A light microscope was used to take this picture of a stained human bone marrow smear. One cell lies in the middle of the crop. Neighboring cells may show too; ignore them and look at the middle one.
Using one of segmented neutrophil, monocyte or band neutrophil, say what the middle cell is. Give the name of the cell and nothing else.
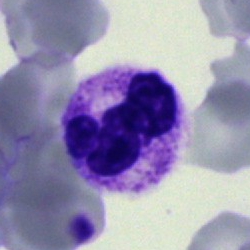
segmented neutrophil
